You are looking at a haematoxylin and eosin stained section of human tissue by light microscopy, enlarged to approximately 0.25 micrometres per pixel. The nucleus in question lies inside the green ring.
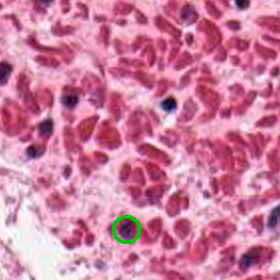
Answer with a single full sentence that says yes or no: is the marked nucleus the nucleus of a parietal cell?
No, the marked nucleus is not housed in a parietal cell.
